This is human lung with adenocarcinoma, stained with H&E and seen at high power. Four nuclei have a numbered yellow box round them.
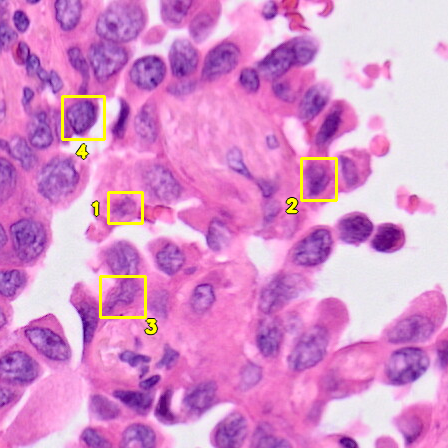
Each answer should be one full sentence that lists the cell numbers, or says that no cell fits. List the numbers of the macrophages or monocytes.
It is only cell 1 that is a macrophage or monocyte among the numbered cells.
